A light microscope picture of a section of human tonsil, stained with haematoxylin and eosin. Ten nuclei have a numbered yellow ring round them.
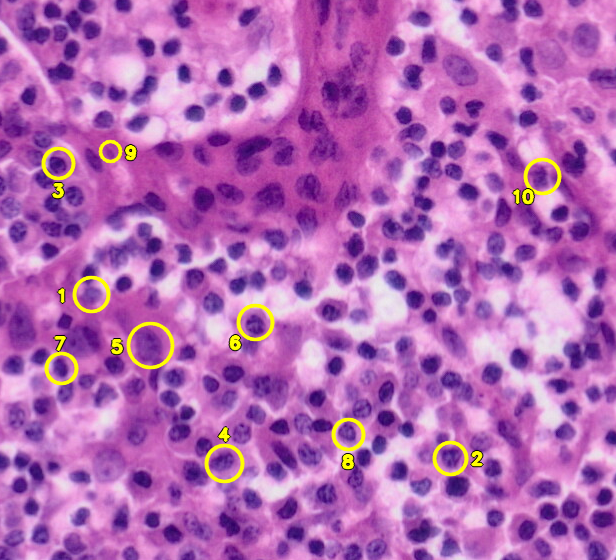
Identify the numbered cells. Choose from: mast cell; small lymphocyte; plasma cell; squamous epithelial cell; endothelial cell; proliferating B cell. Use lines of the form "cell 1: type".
cell 1: squamous epithelial cell
cell 2: plasma cell
cell 3: plasma cell
cell 4: plasma cell
cell 5: squamous epithelial cell
cell 6: plasma cell
cell 7: squamous epithelial cell
cell 8: plasma cell
cell 9: squamous epithelial cell
cell 10: squamous epithelial cell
